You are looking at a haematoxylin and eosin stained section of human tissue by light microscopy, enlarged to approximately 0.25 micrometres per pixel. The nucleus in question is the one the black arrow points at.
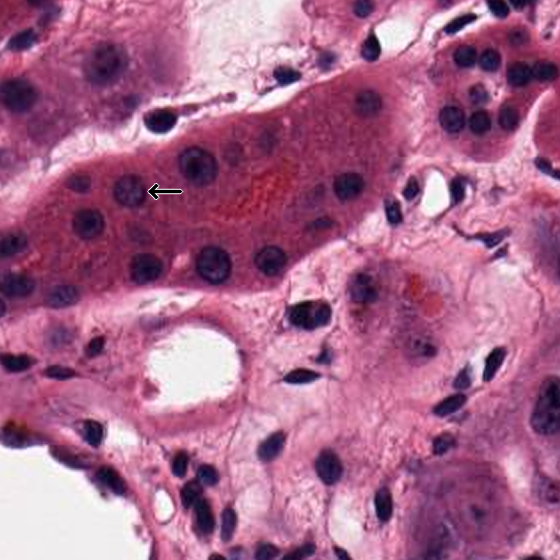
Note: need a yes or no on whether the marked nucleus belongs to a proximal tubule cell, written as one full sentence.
Yes, the marked nucleus forms part of a proximal tubule cell.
